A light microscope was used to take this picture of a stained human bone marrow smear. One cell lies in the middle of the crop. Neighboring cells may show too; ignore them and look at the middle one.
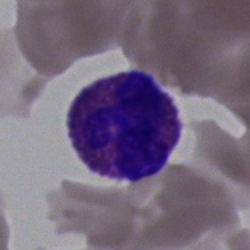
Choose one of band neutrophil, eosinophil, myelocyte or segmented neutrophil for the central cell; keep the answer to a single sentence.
In this crop, the cell at the very middle is an eosinophil.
